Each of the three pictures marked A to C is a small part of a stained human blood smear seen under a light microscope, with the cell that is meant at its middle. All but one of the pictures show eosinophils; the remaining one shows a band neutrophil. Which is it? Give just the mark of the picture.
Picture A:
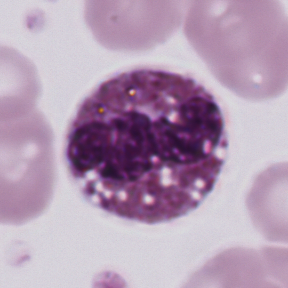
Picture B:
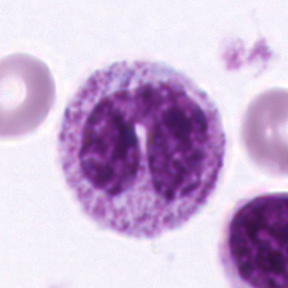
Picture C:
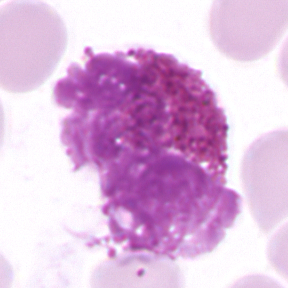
B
